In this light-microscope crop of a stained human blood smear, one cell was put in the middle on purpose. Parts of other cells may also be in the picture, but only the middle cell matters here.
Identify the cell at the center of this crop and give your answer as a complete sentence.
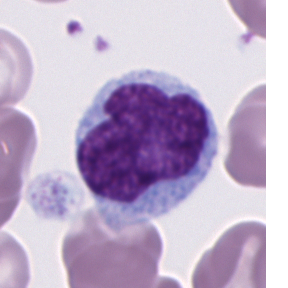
The cell shown in the center of this light-microscope crop is a monocyte.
